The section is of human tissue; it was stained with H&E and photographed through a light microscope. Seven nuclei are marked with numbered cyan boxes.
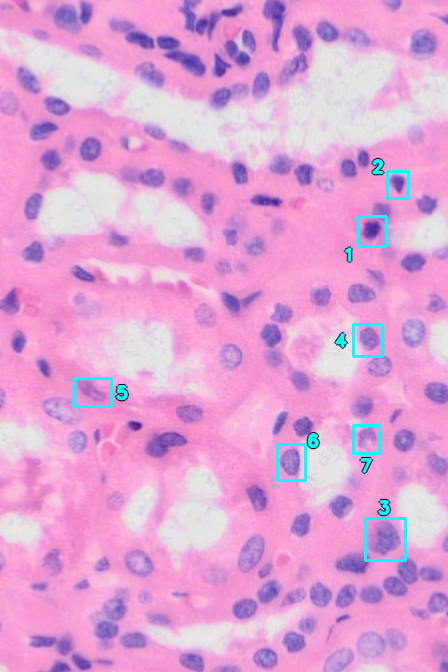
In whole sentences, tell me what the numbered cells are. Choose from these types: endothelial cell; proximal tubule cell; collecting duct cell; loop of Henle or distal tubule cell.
Cells 1, 4, 6 and 7 are loop of Henle or distal tubule cells. Cell 2 is an endothelial cell. Cell 3 is a collecting duct cell. Cell 5 is a proximal tubule cell.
